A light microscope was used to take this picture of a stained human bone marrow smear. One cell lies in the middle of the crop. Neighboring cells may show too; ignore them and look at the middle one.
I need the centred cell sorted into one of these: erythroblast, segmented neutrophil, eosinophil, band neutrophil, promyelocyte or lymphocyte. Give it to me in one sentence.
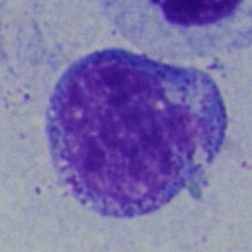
The cell in the middle of the field of view is a promyelocyte.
